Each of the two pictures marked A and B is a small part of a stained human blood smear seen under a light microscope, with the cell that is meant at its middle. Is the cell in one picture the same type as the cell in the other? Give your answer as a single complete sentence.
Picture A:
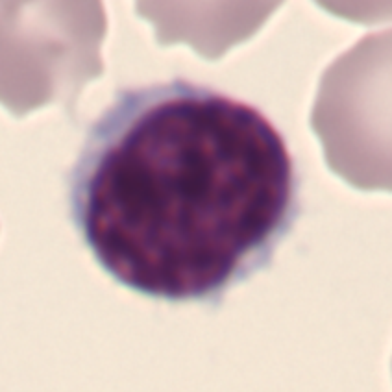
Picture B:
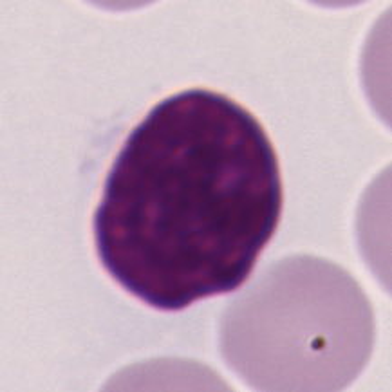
No; the cell in picture A is a hairy cell, while the one in picture B is a smudge cell.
